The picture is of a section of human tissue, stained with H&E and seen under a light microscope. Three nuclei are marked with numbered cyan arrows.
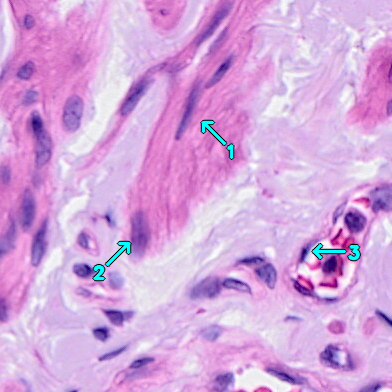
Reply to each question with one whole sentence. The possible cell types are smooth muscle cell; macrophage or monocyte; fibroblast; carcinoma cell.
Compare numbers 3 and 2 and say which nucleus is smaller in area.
It is nucleus 3; nucleus 2 has about 4 times its area.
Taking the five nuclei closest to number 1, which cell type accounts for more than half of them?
Smooth muscle cells account for more than half of the five nuclei nearest to number 1.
